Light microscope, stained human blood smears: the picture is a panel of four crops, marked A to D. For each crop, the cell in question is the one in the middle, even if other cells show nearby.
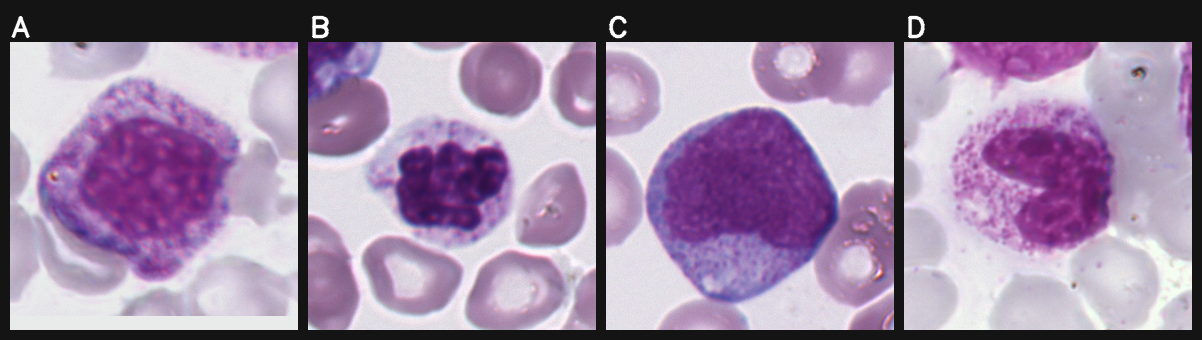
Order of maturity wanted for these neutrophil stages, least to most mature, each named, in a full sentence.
By increasing maturity, the order is crop C (a promyelocyte), crop A (a myelocyte), crop D (a band neutrophil) and crop B (a segmented neutrophil).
